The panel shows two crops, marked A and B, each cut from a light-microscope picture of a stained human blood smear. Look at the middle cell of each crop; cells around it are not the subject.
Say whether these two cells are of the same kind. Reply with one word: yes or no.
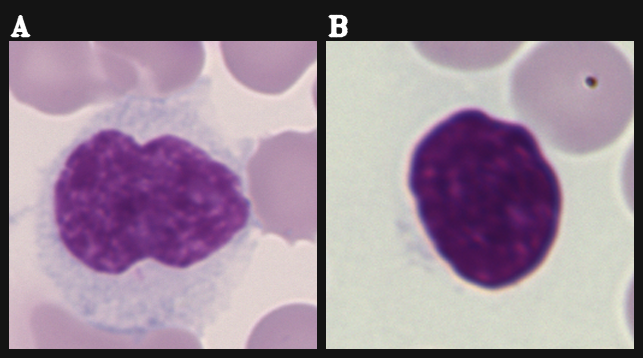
no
